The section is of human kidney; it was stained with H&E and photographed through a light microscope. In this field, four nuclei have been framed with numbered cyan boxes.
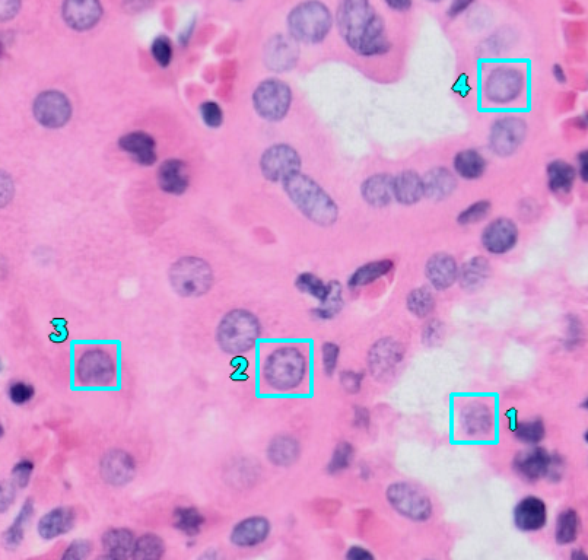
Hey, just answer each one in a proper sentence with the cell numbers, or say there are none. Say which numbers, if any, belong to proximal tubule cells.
The cells whose numbers are 2 and 3 are proximal tubule cells.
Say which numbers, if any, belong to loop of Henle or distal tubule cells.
Cell 1 is a loop of Henle or distal tubule cell, and it is the only one.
